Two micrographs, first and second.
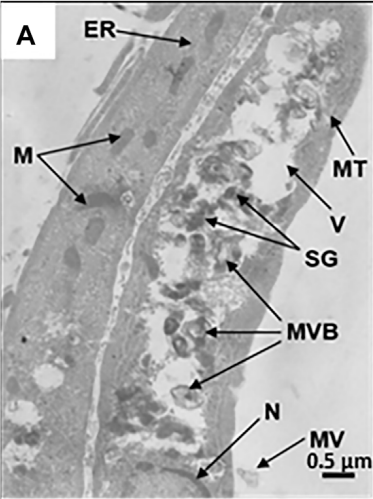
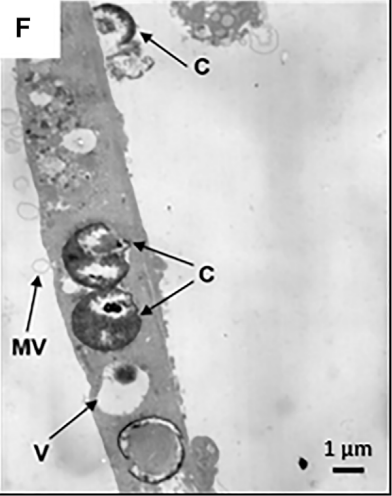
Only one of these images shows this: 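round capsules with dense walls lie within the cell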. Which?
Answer: the second image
